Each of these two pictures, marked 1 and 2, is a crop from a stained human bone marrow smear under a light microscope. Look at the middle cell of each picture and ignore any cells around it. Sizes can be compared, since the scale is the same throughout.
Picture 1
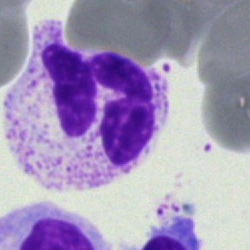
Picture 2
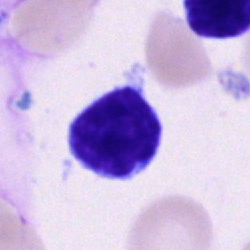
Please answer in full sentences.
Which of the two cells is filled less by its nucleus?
Of the two, the nucleus in picture 1 leaves more room for cytoplasm.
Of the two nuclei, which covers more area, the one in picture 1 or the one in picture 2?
Larger is the nucleus in picture 1, at roughly 1.5 times the area of the other.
